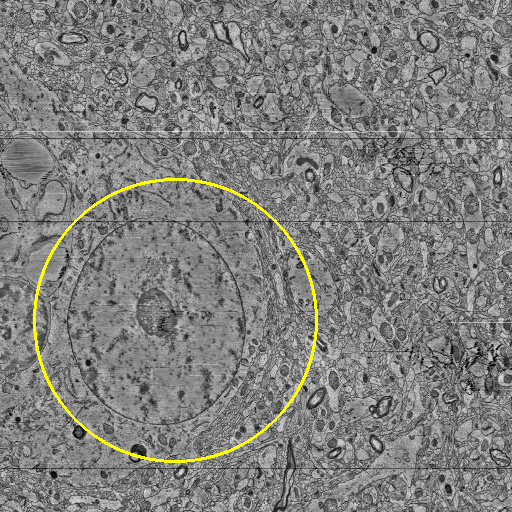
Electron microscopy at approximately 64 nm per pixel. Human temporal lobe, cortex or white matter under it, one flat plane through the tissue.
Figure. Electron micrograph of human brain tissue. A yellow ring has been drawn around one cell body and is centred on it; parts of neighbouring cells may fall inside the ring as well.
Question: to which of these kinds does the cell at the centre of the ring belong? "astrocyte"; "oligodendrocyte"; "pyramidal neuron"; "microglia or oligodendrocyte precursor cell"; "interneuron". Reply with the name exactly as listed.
pyramidal neuron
